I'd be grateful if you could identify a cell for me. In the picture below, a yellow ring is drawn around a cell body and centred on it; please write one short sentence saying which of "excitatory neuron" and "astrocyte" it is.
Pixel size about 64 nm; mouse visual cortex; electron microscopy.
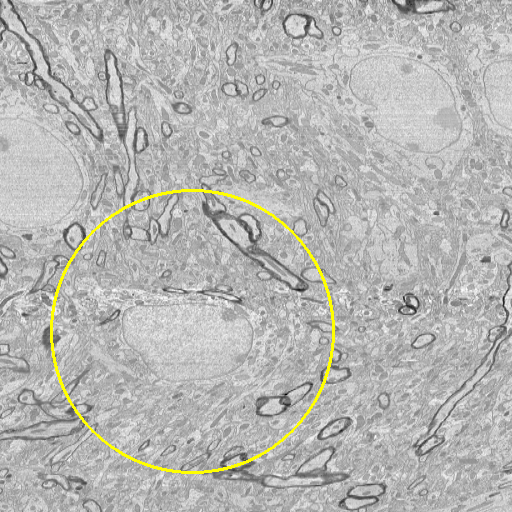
The cell under the ring's centre is an astrocyte.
